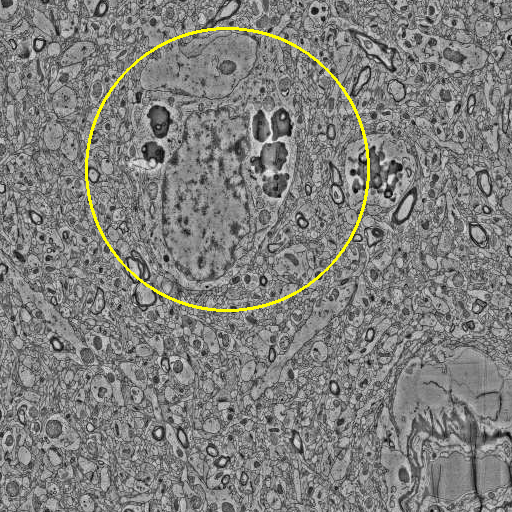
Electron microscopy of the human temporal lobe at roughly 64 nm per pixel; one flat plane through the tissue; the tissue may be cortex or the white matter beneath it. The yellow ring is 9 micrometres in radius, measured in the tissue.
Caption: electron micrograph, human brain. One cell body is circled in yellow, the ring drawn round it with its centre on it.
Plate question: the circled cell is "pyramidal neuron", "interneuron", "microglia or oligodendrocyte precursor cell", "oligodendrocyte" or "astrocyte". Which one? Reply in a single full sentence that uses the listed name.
The yellow ring on the plate is centred on an interneuron, going by the listed names.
